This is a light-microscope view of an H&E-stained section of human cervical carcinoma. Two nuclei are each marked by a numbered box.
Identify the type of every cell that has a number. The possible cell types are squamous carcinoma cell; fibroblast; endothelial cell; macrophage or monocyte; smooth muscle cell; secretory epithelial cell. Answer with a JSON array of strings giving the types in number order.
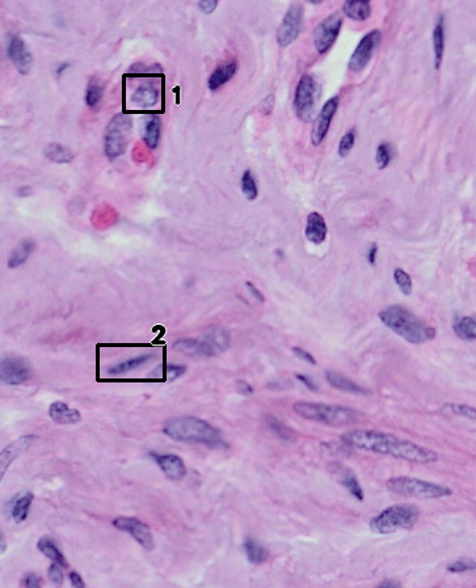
["endothelial cell", "fibroblast"]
